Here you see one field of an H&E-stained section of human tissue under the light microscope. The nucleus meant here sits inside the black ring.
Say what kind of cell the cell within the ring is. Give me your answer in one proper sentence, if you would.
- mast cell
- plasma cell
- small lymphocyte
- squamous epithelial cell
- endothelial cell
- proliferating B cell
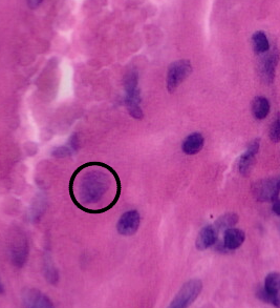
Typologically, the cell within the ring is an endothelial cell in this section.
